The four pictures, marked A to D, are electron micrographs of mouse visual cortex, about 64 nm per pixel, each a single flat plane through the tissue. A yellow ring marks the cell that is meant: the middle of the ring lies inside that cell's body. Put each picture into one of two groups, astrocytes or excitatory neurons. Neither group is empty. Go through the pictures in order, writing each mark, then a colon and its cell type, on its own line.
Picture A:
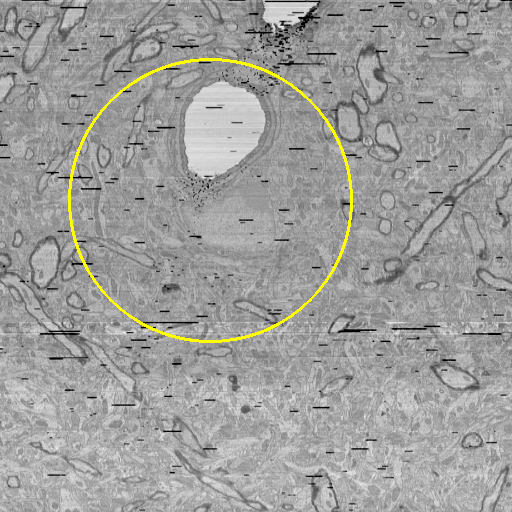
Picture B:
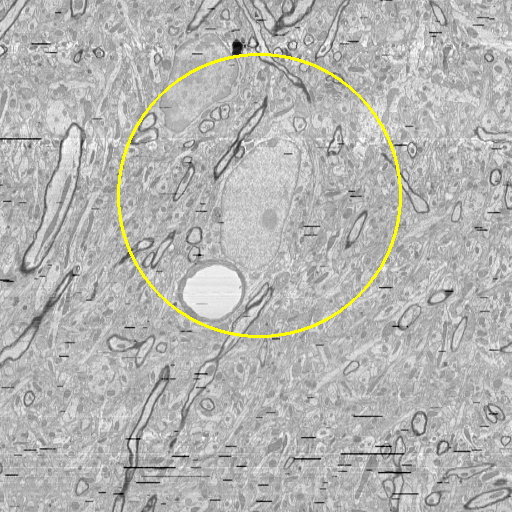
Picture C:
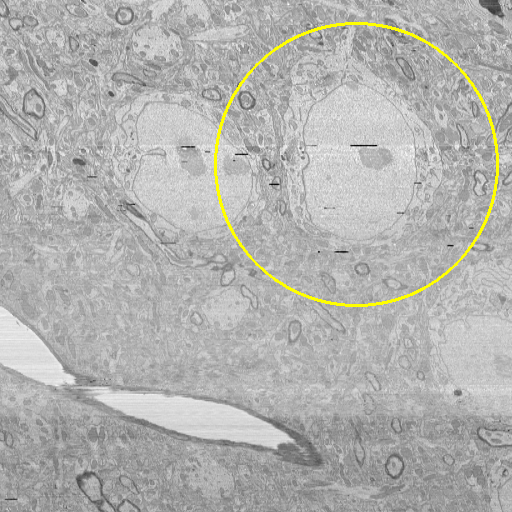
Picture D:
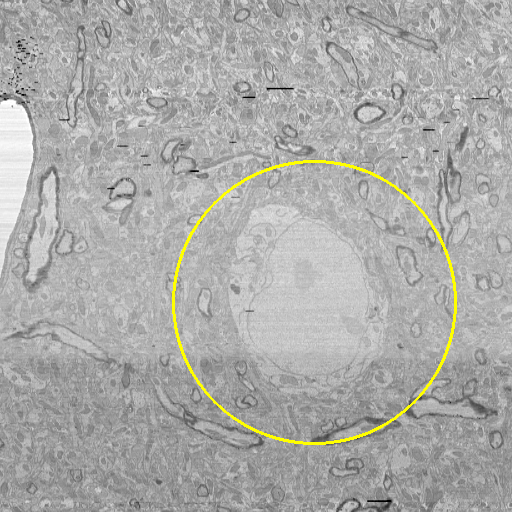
A: astrocyte
B: astrocyte
C: excitatory neuron
D: excitatory neuron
